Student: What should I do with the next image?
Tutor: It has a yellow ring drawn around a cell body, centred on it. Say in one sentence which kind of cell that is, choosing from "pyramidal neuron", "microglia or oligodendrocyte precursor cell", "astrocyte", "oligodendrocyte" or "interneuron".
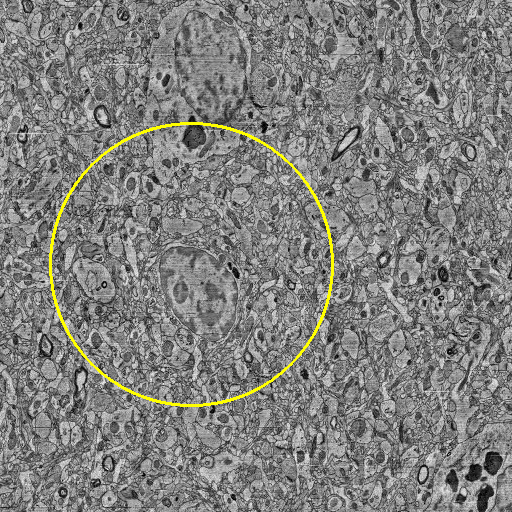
The ring's centre is occupied by a microglial cell or oligodendrocyte precursor cell.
